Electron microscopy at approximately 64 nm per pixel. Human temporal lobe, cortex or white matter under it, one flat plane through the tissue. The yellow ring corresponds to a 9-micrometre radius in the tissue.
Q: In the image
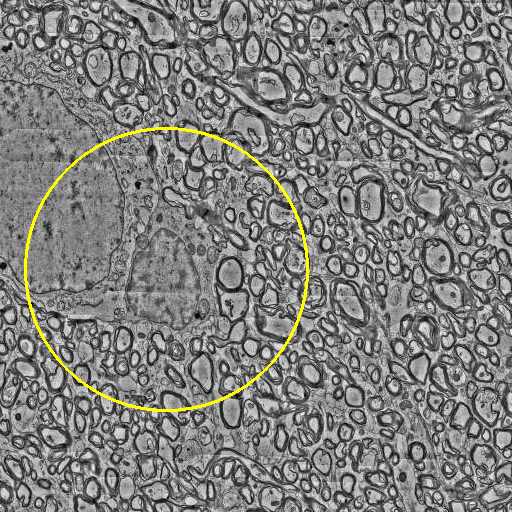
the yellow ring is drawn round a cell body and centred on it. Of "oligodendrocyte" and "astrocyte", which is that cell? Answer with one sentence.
The cell centred in the ring is an oligodendrocyte.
